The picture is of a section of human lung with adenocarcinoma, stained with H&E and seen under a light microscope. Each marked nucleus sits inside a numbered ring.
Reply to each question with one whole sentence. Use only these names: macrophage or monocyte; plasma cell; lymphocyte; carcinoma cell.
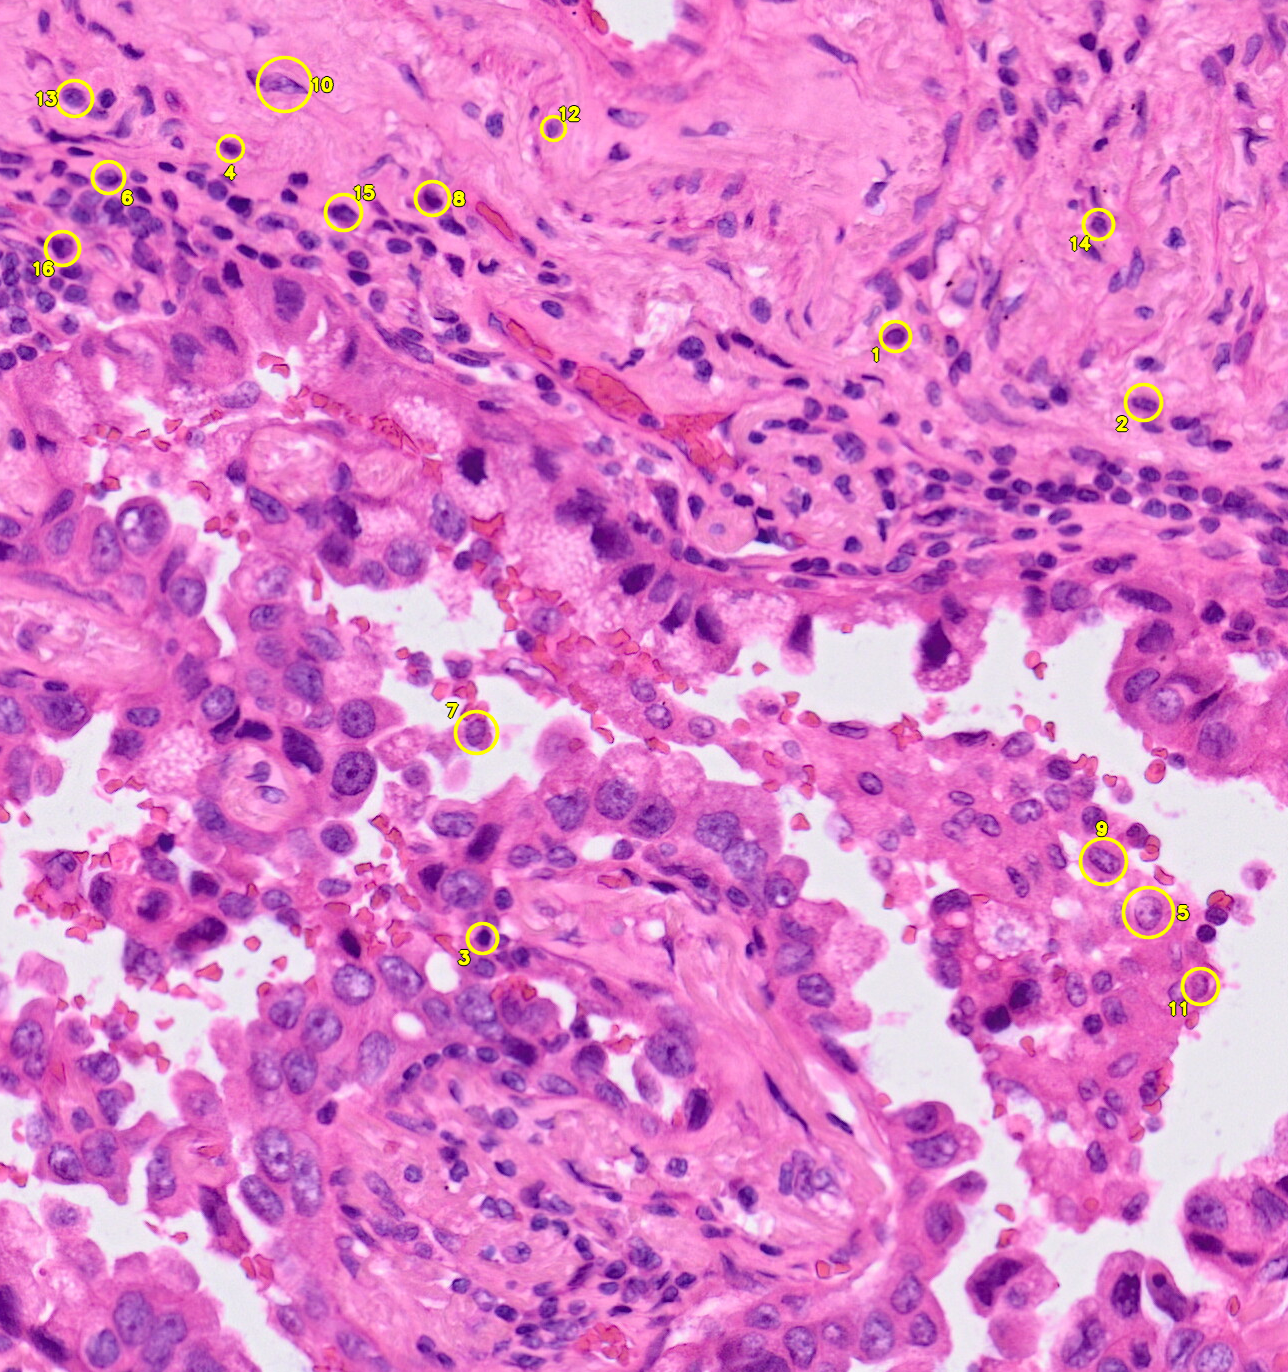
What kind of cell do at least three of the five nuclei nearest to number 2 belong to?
The majority of the five nuclei closest to number 2 belong to lymphocytes.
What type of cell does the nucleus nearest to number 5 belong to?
It is a macrophage or monocyte whose nucleus is nearest to number 5.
